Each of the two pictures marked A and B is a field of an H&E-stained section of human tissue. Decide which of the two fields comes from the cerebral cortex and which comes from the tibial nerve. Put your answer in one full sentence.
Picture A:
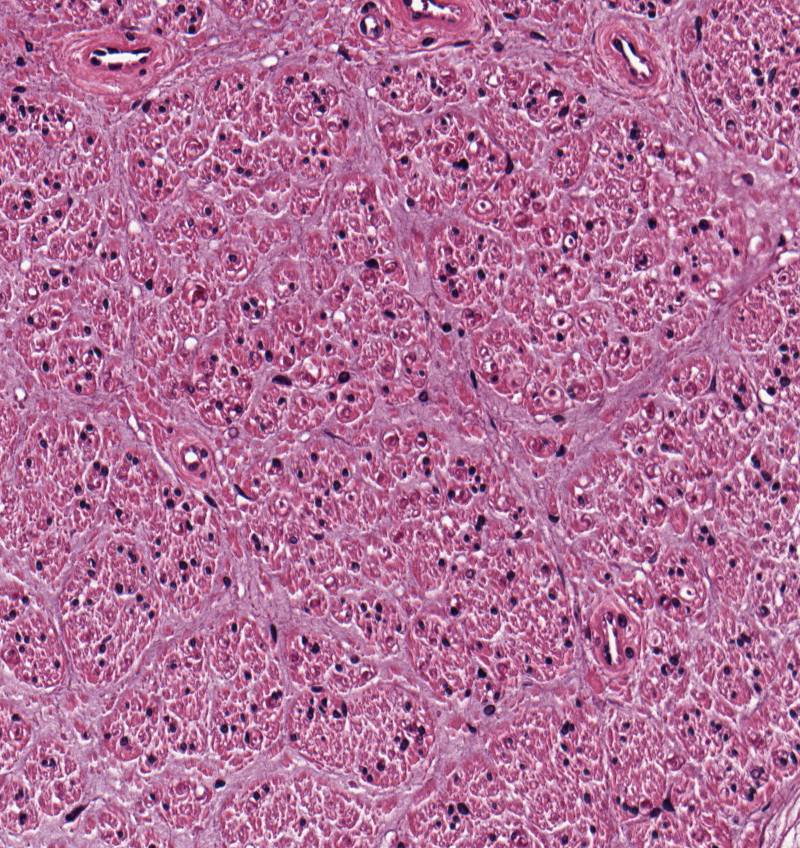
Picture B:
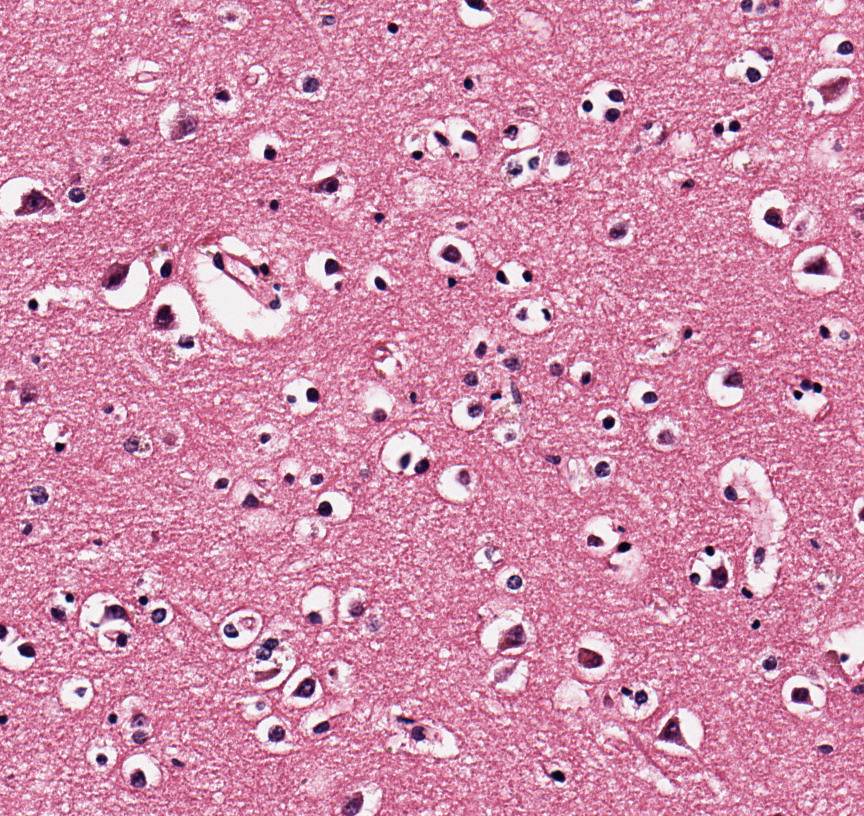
Picture A comes from the tibial nerve and picture B comes from the cerebral cortex.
